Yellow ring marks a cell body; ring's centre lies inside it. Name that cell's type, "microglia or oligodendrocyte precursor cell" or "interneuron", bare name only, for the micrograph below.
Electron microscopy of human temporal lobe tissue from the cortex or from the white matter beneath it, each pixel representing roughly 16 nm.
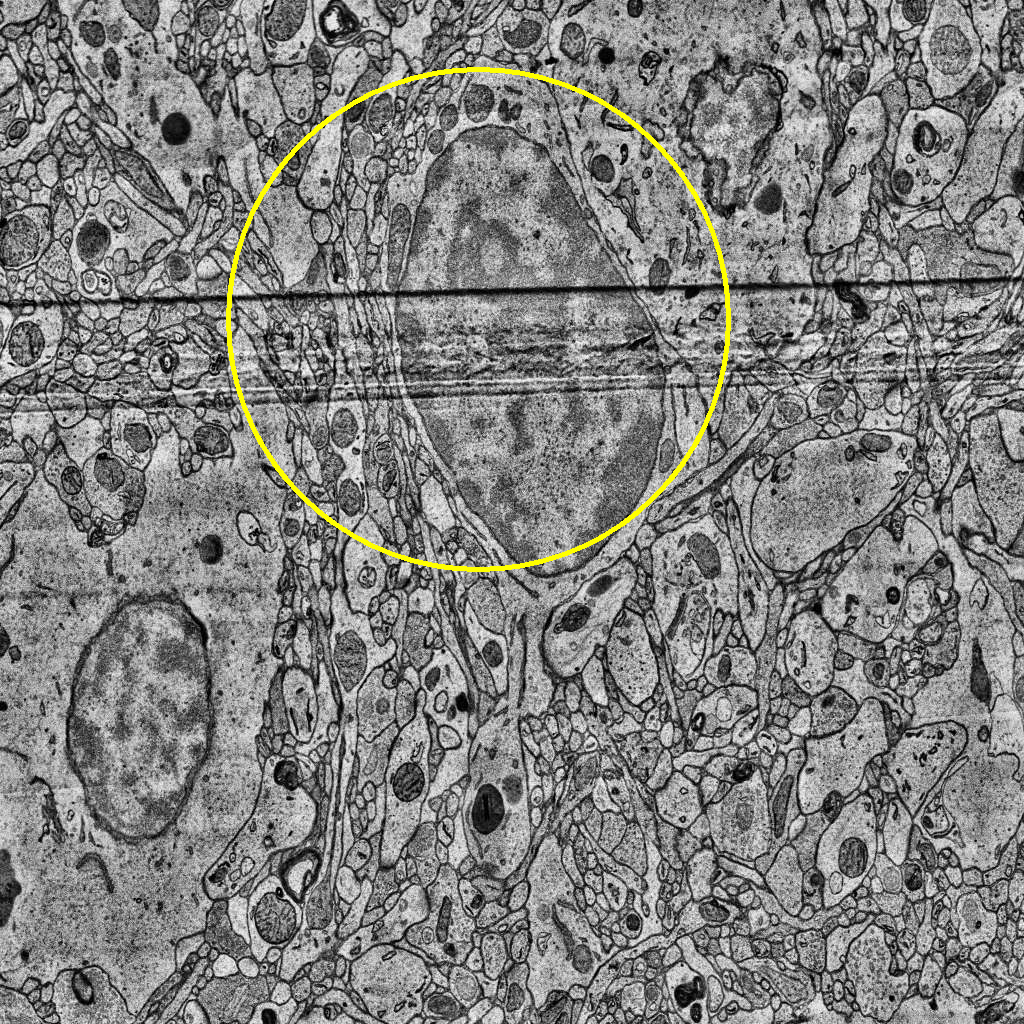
microglia or oligodendrocyte precursor cell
